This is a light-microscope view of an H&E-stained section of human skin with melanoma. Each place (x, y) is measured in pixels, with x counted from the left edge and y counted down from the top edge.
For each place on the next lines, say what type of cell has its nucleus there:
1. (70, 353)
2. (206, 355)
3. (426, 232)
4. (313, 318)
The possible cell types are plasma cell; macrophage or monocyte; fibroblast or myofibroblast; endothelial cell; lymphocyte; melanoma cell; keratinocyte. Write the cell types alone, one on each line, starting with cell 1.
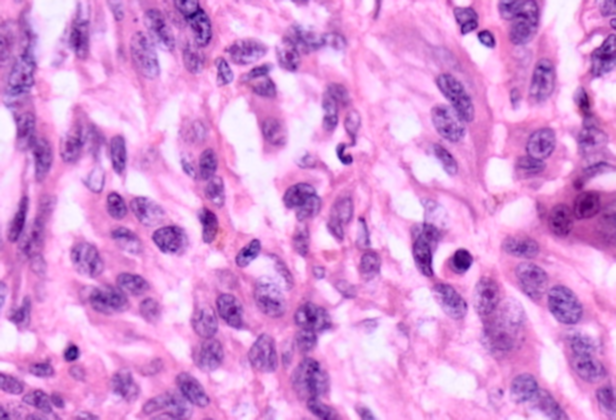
lymphocyte
melanoma cell
melanoma cell
melanoma cell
